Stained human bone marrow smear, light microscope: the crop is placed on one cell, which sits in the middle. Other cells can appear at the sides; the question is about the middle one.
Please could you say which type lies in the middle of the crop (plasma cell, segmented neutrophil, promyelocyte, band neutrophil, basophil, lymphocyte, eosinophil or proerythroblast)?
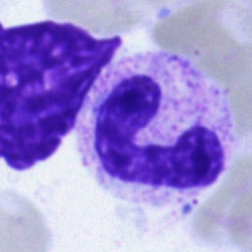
band neutrophil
